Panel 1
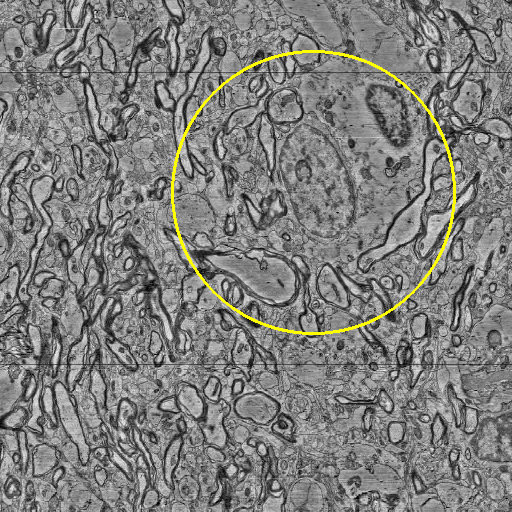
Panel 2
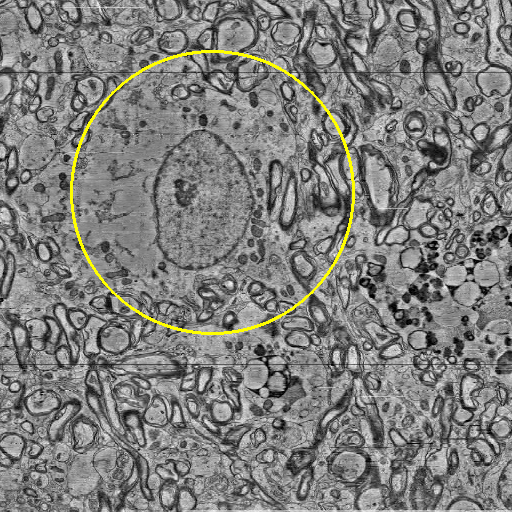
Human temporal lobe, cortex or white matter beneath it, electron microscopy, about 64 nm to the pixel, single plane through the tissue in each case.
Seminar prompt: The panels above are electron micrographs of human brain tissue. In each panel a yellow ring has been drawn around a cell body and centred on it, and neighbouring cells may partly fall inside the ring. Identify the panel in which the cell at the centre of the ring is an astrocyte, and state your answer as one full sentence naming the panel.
Panel 2 has it at the centre of its ring.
